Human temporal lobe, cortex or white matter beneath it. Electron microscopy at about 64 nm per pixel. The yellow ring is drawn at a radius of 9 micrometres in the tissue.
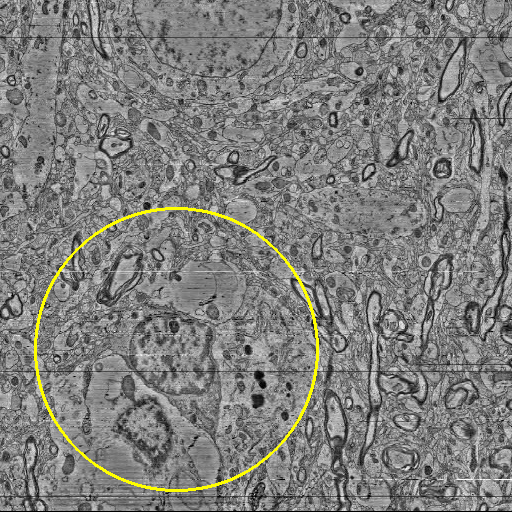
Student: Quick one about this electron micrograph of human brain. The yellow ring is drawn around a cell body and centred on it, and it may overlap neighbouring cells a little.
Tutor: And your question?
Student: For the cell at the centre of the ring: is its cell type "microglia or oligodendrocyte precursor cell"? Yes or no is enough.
no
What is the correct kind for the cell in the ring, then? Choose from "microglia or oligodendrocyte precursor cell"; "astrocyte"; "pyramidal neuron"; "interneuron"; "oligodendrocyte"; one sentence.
The cell shown in the ring is an oligodendrocyte.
